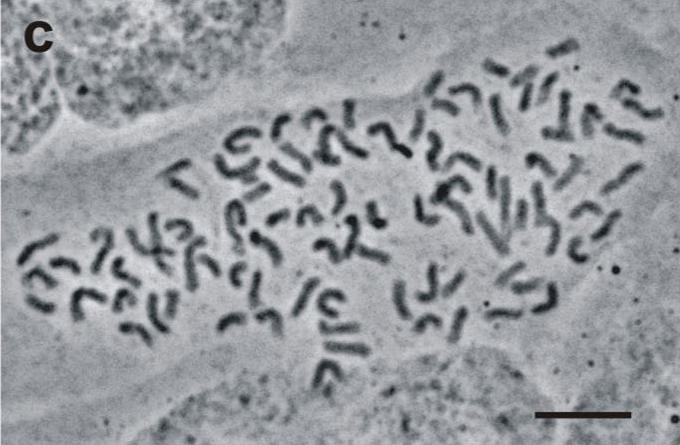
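The chromosomes are many short, dark, condensed rods, some straight and some hooked or bent, lying side by side in a crowded field. Around the spread the surrounding cells appear as grainy gray masses with bright phase halos at their borders.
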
